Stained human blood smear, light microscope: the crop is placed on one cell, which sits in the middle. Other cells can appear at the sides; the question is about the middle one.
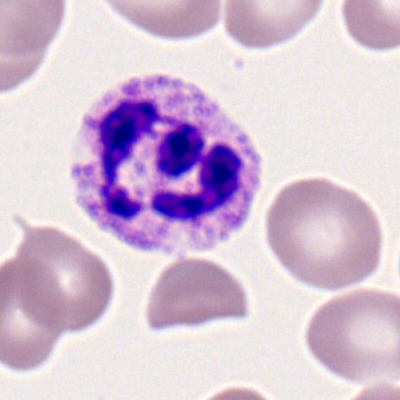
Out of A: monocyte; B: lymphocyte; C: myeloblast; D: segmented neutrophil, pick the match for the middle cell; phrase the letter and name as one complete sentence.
The cell in the middle is a segmented neutrophil, so option D is correct.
